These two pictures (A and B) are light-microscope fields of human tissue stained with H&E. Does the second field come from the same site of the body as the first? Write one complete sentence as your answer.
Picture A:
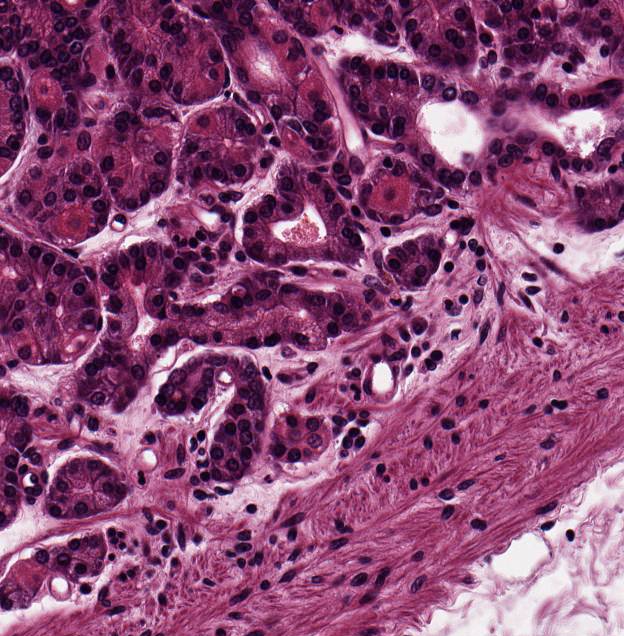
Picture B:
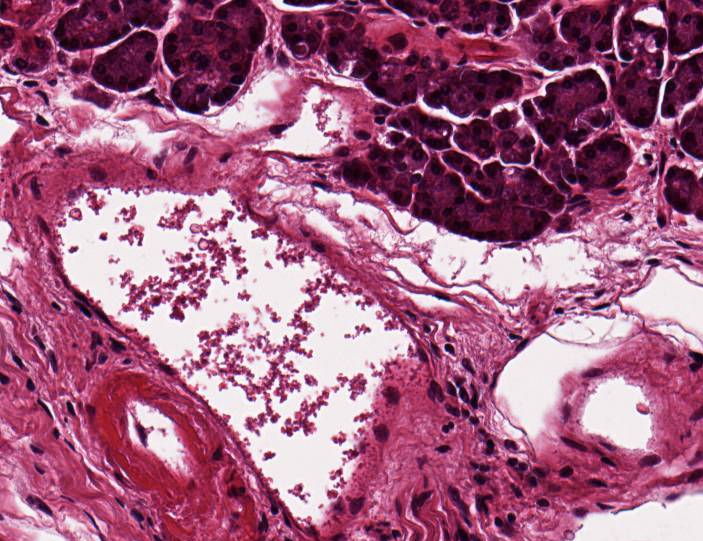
No. Picture A comes from the stomach, whereas picture B comes from the pancreas.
